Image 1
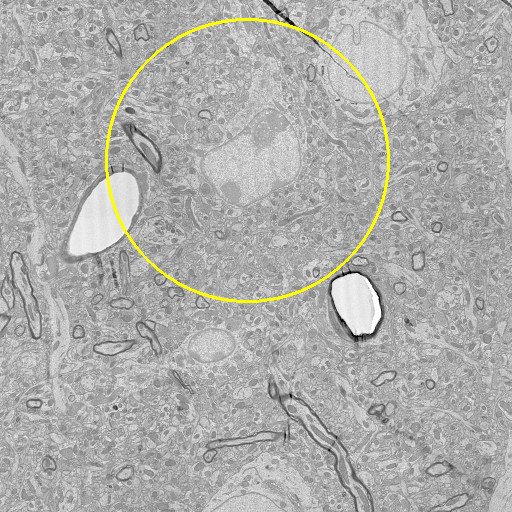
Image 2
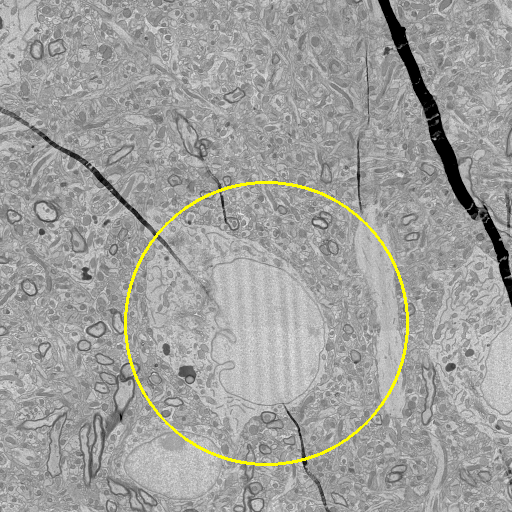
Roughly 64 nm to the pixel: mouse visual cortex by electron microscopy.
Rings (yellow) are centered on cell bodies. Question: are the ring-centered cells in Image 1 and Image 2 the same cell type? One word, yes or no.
no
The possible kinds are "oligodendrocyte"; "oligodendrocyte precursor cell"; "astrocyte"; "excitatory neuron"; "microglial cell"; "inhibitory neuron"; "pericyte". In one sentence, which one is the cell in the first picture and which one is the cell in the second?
The cell ringed in the second picture is an excitatory neuron, whereas the one ringed in the first is an astrocyte.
